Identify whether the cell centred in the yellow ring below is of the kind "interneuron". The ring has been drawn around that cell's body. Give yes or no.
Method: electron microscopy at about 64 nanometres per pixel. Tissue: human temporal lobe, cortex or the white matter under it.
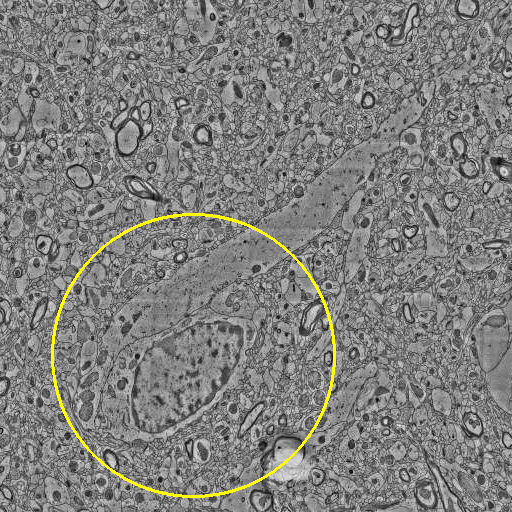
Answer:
no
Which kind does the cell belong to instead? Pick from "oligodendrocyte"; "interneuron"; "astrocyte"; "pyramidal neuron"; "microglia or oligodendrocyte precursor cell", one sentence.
It is a microglial cell or oligodendrocyte precursor cell that the ring is centred on.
